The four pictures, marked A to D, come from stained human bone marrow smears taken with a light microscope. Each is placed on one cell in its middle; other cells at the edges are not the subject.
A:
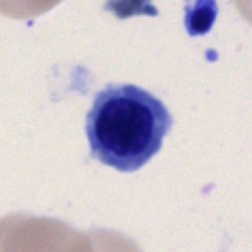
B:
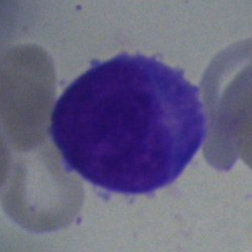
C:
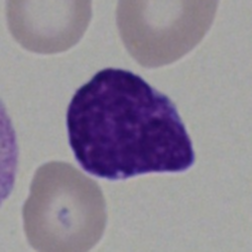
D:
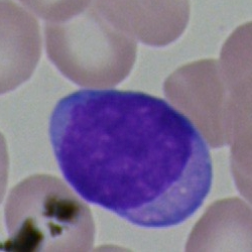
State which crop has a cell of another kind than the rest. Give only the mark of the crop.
A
